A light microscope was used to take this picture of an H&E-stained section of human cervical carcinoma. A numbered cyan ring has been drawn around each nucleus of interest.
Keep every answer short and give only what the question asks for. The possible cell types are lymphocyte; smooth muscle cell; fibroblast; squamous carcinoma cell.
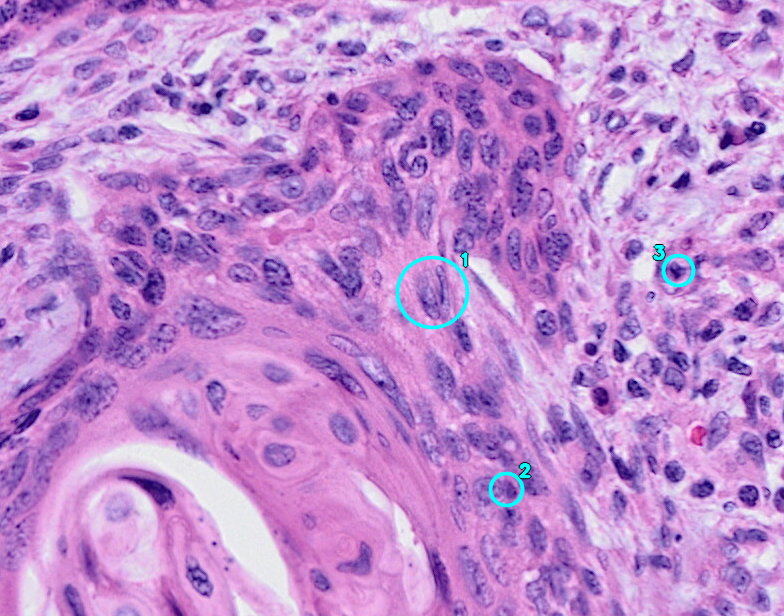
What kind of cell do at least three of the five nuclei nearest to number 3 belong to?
fibroblast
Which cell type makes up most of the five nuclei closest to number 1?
squamous carcinoma cell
